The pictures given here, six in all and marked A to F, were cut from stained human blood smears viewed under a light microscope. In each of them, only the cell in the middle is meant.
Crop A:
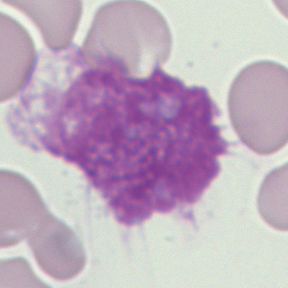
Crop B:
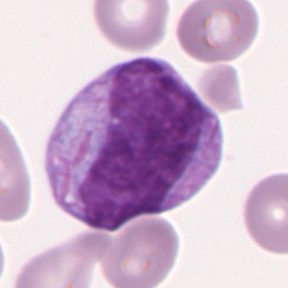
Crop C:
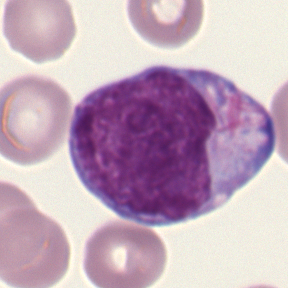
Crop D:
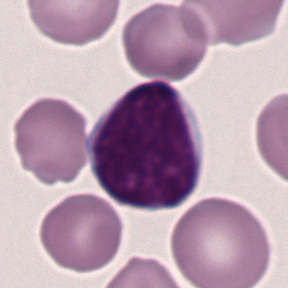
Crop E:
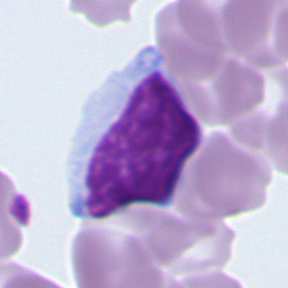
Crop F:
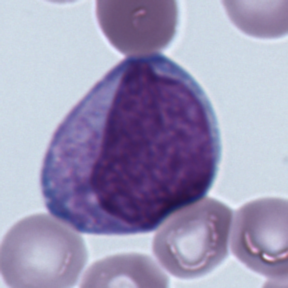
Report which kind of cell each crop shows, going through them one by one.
A: smudge cell
B: atypical promyelocyte
C: atypical promyelocyte
D: typical lymphocyte
E: typical lymphocyte
F: atypical promyelocyte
